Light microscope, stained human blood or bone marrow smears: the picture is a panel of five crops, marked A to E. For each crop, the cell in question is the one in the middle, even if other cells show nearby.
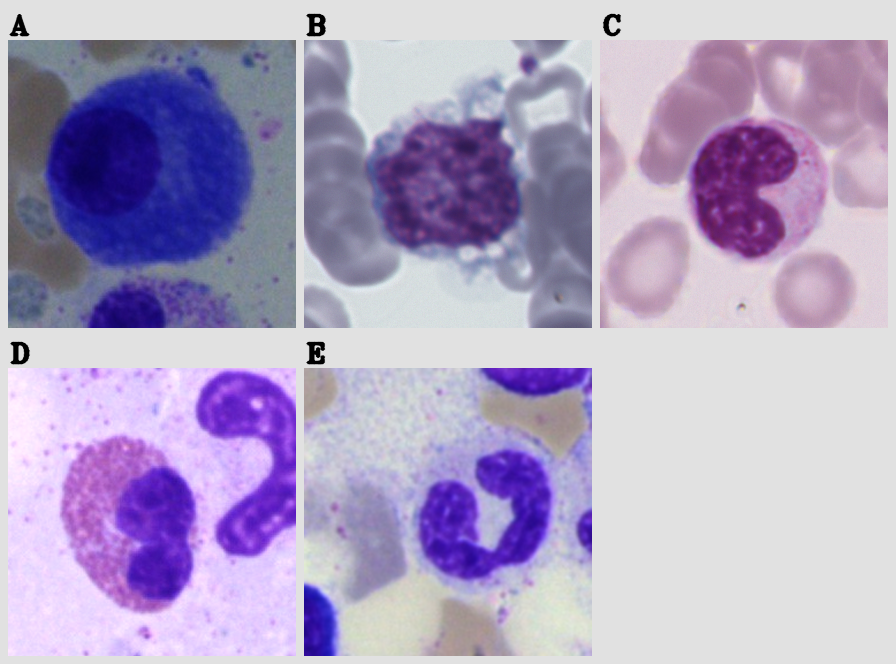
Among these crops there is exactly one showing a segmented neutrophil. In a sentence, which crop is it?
Among the crops, only crop E contains a segmented neutrophil.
